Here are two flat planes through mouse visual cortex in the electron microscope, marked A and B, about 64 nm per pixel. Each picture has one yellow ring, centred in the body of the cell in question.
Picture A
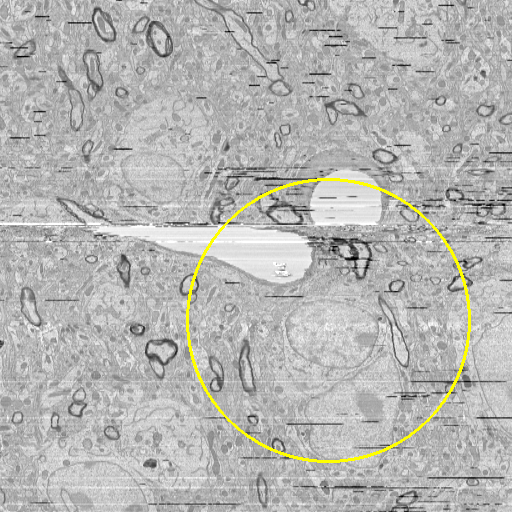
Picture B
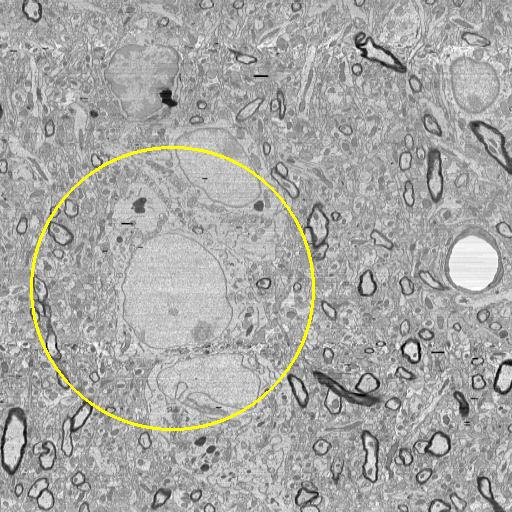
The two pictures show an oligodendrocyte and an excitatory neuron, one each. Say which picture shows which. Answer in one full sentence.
Picture A shows an oligodendrocyte and picture B shows an excitatory neuron.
